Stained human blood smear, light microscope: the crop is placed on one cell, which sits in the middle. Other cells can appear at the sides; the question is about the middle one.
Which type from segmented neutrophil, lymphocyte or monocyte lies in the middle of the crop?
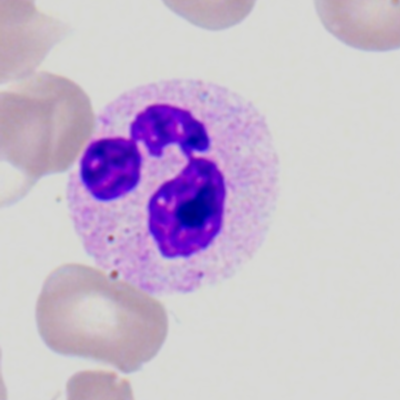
segmented neutrophil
